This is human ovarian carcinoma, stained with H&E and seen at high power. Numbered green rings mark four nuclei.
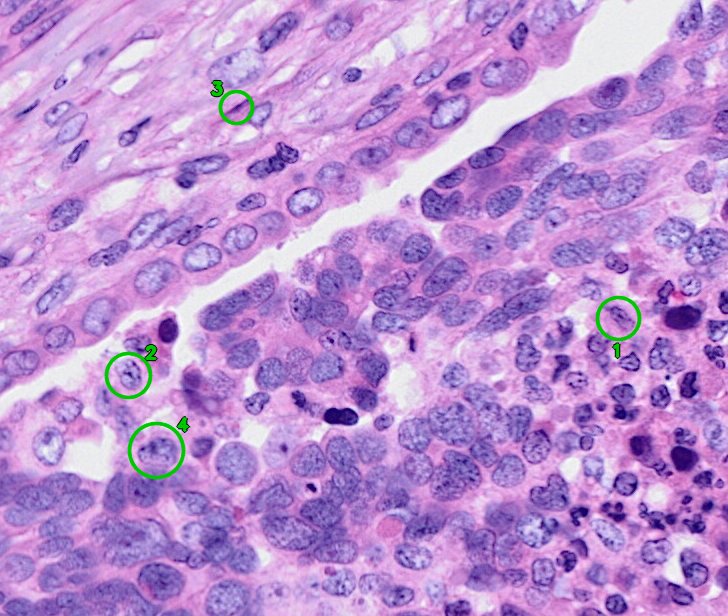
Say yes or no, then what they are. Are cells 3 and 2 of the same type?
No, cell 3 is categorized as a fibroblast, while cell 2 is categorized as a macrophage or monocyte.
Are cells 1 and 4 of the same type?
Yes, both of the cells numbered 1 and 4 are macrophages or monocytes.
